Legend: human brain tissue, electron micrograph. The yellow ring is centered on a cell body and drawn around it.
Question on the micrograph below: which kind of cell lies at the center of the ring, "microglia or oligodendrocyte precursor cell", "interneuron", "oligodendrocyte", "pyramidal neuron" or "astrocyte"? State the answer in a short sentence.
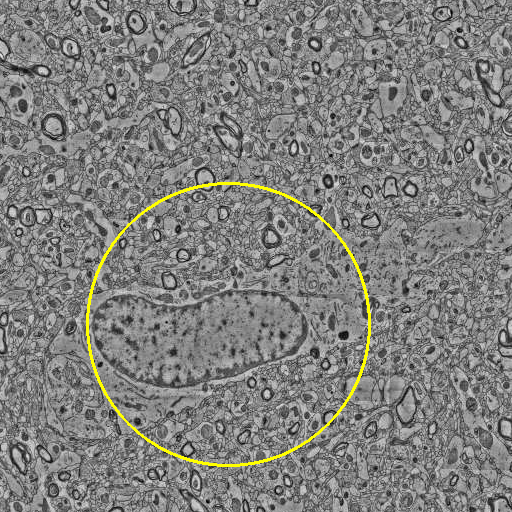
At the center of the ring lies a microglial cell or oligodendrocyte precursor cell.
